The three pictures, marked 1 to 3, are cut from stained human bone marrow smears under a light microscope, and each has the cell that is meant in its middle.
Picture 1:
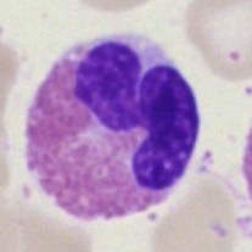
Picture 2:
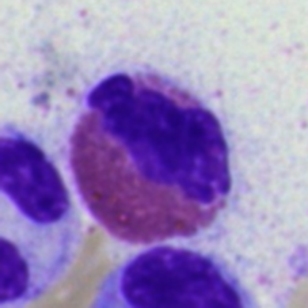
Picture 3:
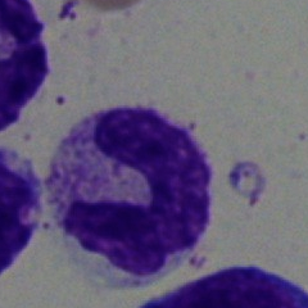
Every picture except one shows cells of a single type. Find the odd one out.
3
